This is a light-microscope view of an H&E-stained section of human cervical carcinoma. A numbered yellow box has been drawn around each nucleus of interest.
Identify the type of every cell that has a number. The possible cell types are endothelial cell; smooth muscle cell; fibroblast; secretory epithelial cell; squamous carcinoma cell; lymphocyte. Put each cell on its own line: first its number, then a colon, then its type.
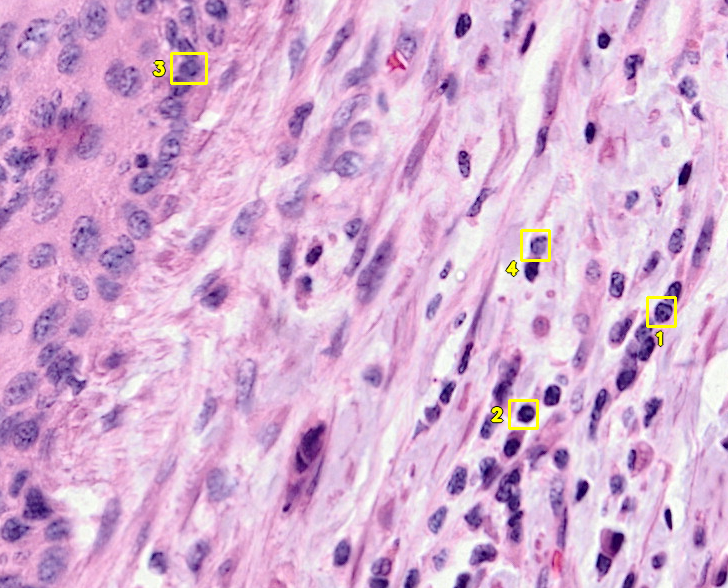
1: lymphocyte
2: lymphocyte
3: squamous carcinoma cell
4: lymphocyte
